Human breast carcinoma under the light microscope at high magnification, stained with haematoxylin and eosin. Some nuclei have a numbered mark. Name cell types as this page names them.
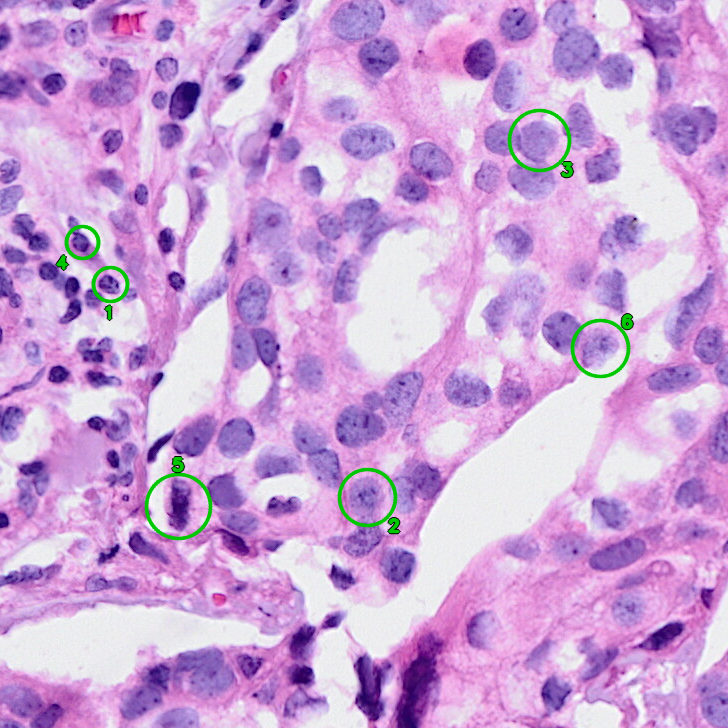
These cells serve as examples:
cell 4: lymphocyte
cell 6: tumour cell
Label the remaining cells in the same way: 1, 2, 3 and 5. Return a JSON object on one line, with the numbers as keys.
{"1": "lymphocyte", "2": "tumour cell", "3": "tumour cell", "5": "tumour cell"}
